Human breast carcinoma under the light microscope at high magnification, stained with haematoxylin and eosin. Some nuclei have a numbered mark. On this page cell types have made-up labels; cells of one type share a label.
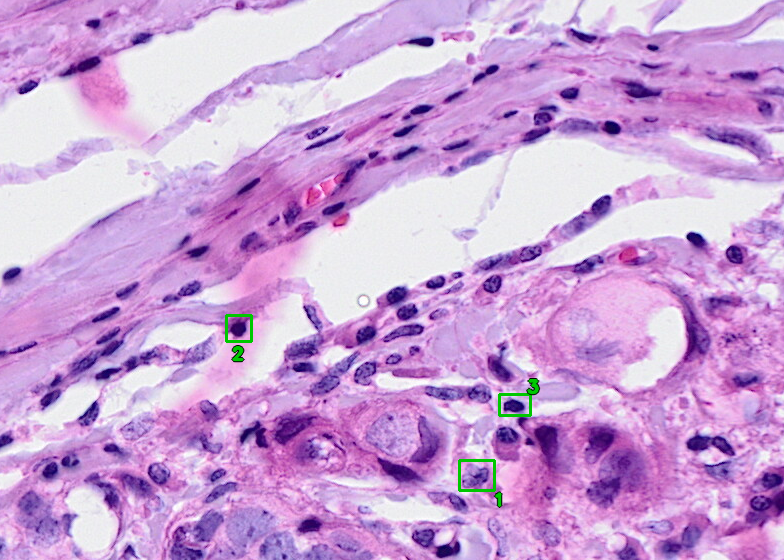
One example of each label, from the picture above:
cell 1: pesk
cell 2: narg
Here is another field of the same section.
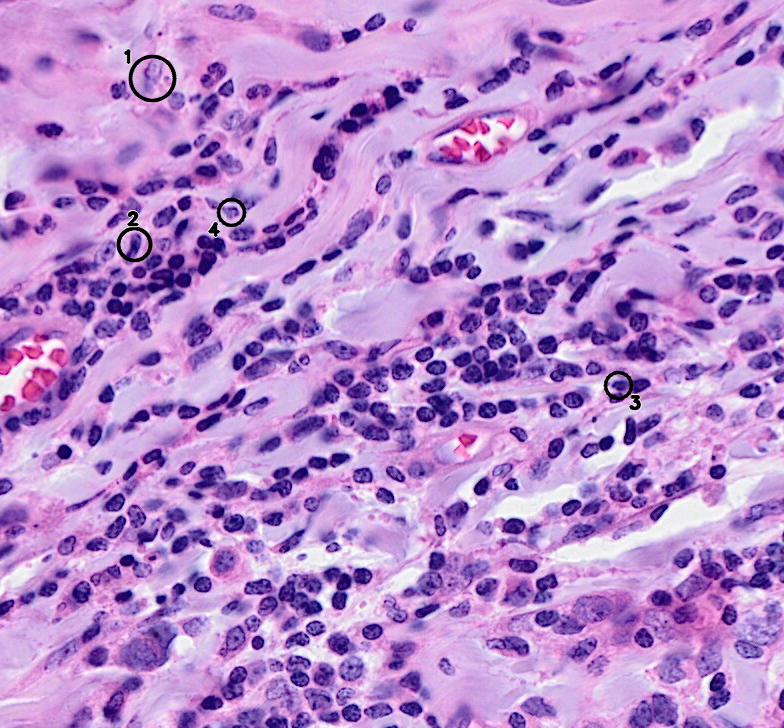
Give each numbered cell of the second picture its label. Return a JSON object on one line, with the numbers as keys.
{"1": "pesk", "2": "narg", "3": "narg", "4": "narg"}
